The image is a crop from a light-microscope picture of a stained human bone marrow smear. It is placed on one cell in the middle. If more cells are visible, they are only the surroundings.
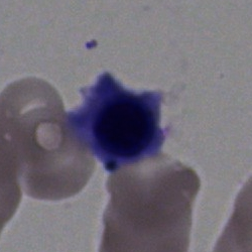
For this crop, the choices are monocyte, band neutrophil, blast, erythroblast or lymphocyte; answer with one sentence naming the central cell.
Occupying the centre of the crop is an erythroblast.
